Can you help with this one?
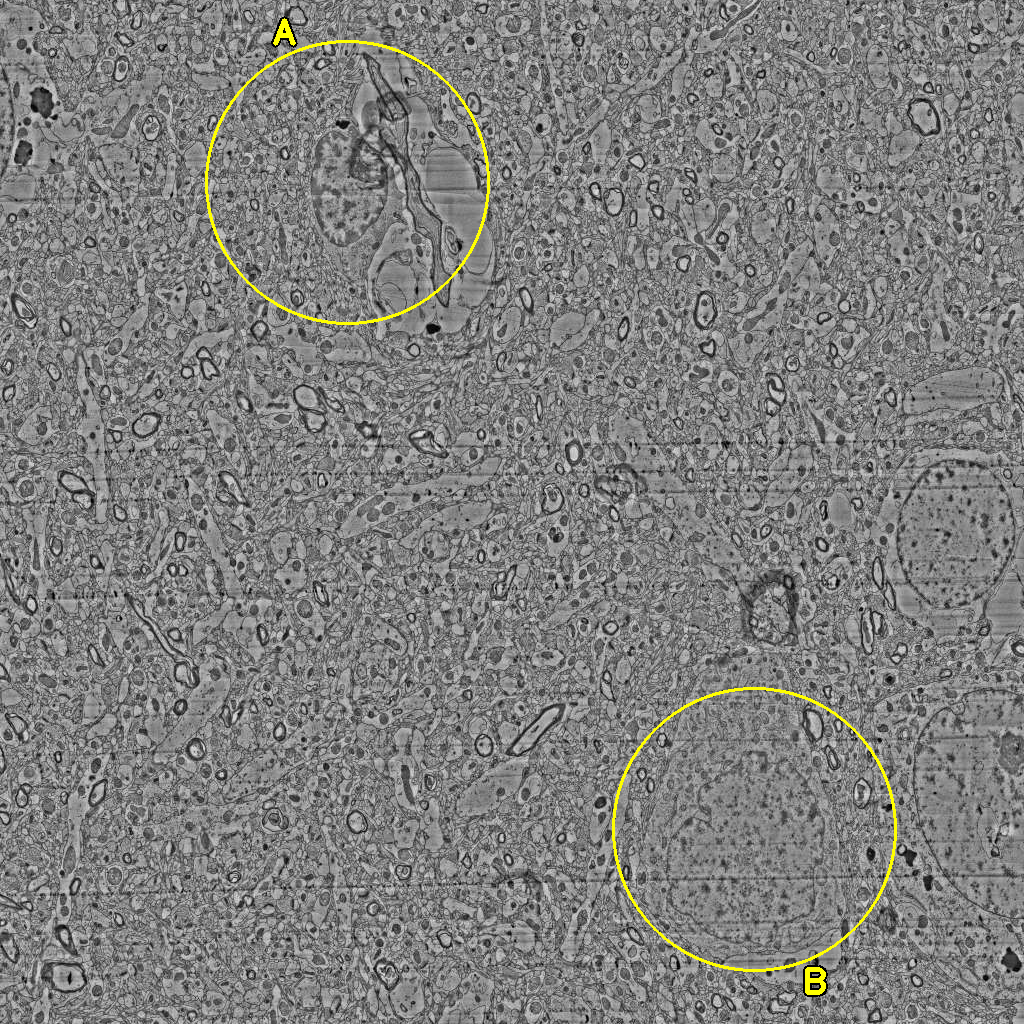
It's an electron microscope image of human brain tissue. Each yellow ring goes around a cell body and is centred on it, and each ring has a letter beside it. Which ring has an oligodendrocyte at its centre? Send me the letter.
A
